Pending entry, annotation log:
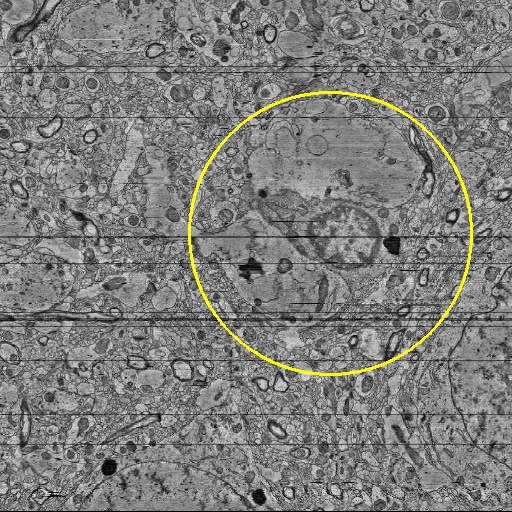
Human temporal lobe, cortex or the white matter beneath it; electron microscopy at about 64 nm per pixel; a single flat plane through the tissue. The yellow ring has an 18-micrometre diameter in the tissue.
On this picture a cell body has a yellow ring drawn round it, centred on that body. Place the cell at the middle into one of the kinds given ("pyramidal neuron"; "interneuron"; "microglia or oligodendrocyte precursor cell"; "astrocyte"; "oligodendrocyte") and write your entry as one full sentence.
The cell body at the middle of the yellow ring belongs to an oligodendrocyte.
